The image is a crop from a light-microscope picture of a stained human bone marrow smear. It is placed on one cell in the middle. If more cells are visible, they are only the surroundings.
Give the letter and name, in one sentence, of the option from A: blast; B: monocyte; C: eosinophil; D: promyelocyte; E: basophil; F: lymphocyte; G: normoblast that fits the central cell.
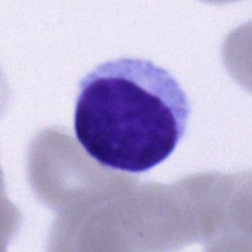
Option F is the right choice, the central cell being a lymphocyte.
